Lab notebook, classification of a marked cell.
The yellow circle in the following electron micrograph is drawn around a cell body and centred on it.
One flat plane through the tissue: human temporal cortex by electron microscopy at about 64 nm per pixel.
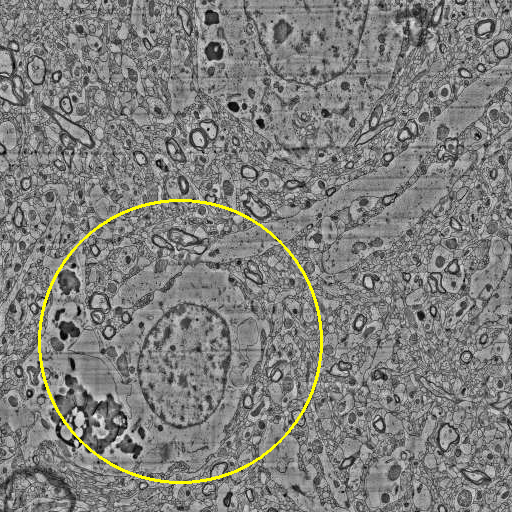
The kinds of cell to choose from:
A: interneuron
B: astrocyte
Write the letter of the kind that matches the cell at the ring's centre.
B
